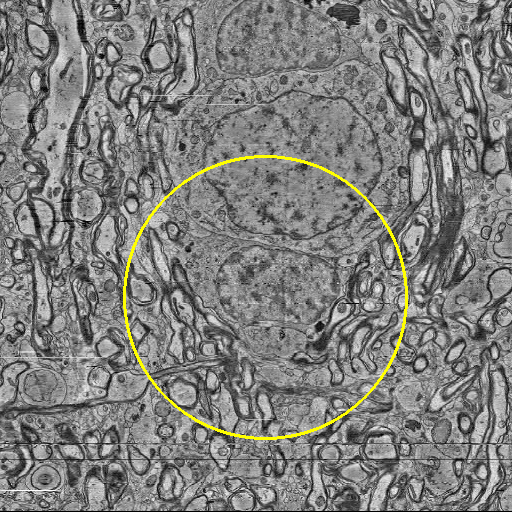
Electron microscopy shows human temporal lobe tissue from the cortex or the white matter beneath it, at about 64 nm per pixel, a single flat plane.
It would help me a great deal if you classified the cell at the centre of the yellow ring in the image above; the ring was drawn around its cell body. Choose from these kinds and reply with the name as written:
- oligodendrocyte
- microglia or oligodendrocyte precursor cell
oligodendrocyte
